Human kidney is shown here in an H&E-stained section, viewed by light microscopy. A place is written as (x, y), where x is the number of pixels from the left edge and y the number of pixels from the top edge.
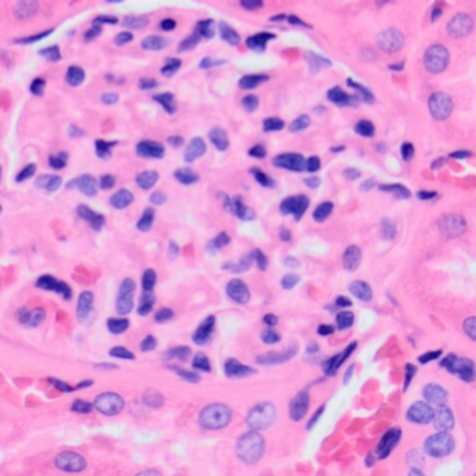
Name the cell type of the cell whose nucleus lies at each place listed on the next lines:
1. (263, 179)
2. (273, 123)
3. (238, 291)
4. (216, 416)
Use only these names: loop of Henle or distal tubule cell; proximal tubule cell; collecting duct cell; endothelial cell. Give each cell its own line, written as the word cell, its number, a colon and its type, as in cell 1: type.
cell 1: endothelial cell
cell 2: endothelial cell
cell 3: endothelial cell
cell 4: proximal tubule cell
